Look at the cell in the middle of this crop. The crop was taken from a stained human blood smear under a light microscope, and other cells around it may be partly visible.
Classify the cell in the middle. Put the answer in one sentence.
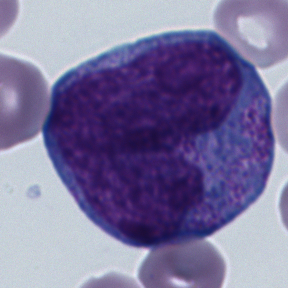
The cell at the middle of the frame should be recorded as a promyelocyte.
